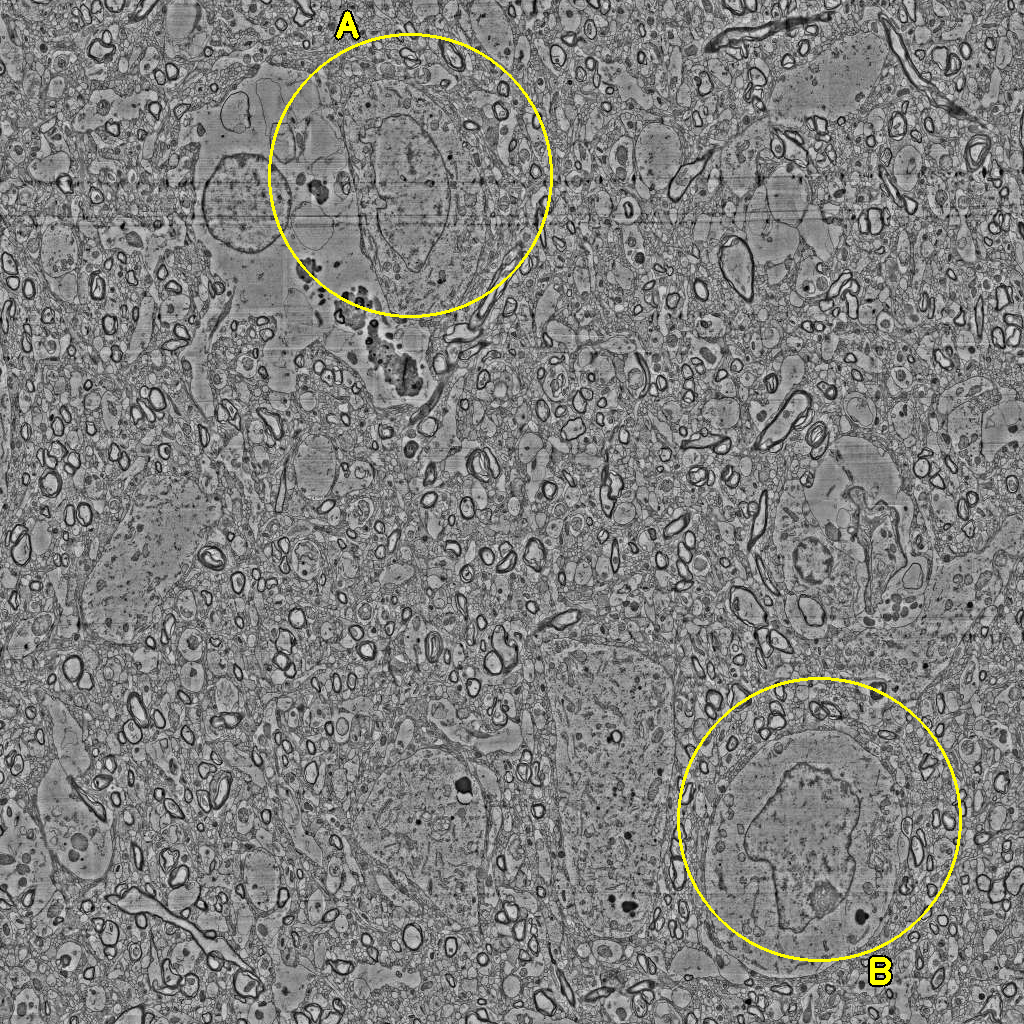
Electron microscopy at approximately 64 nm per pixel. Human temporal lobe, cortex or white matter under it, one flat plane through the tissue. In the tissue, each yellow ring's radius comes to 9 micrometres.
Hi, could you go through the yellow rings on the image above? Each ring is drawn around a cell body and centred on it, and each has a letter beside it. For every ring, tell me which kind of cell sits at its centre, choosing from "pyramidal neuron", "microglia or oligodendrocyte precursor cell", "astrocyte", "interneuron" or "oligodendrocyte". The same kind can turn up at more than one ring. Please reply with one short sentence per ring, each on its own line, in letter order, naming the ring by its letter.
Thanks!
Ring A is centred on a pyramidal neuron.
Ring B is centred on a pyramidal neuron.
